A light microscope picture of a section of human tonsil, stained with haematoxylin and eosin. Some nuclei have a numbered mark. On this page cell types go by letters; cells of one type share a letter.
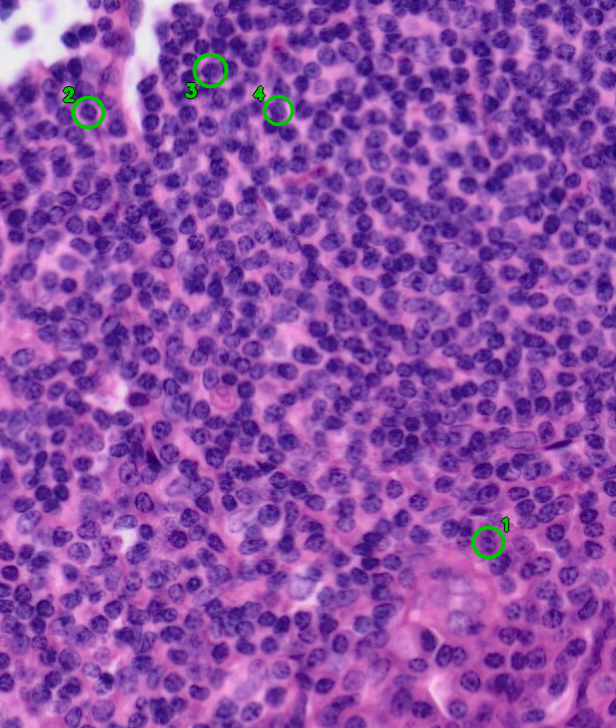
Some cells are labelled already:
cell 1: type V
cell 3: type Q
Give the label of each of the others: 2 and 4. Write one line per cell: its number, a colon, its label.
2: type Q
4: type Q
